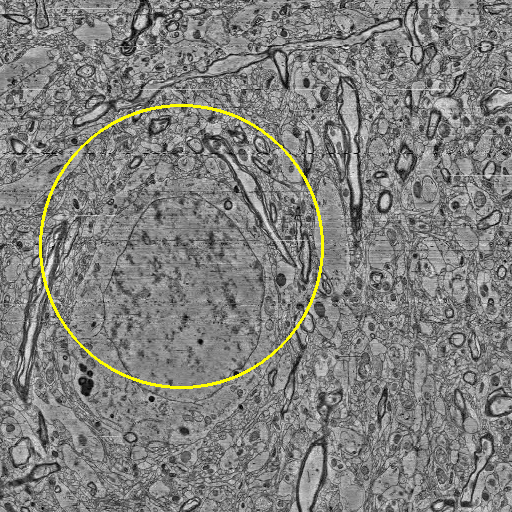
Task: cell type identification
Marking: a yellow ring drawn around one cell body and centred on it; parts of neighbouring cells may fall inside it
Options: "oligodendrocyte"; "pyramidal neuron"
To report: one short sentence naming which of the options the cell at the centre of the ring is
The cell at the centre of the ring is a pyramidal neuron.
